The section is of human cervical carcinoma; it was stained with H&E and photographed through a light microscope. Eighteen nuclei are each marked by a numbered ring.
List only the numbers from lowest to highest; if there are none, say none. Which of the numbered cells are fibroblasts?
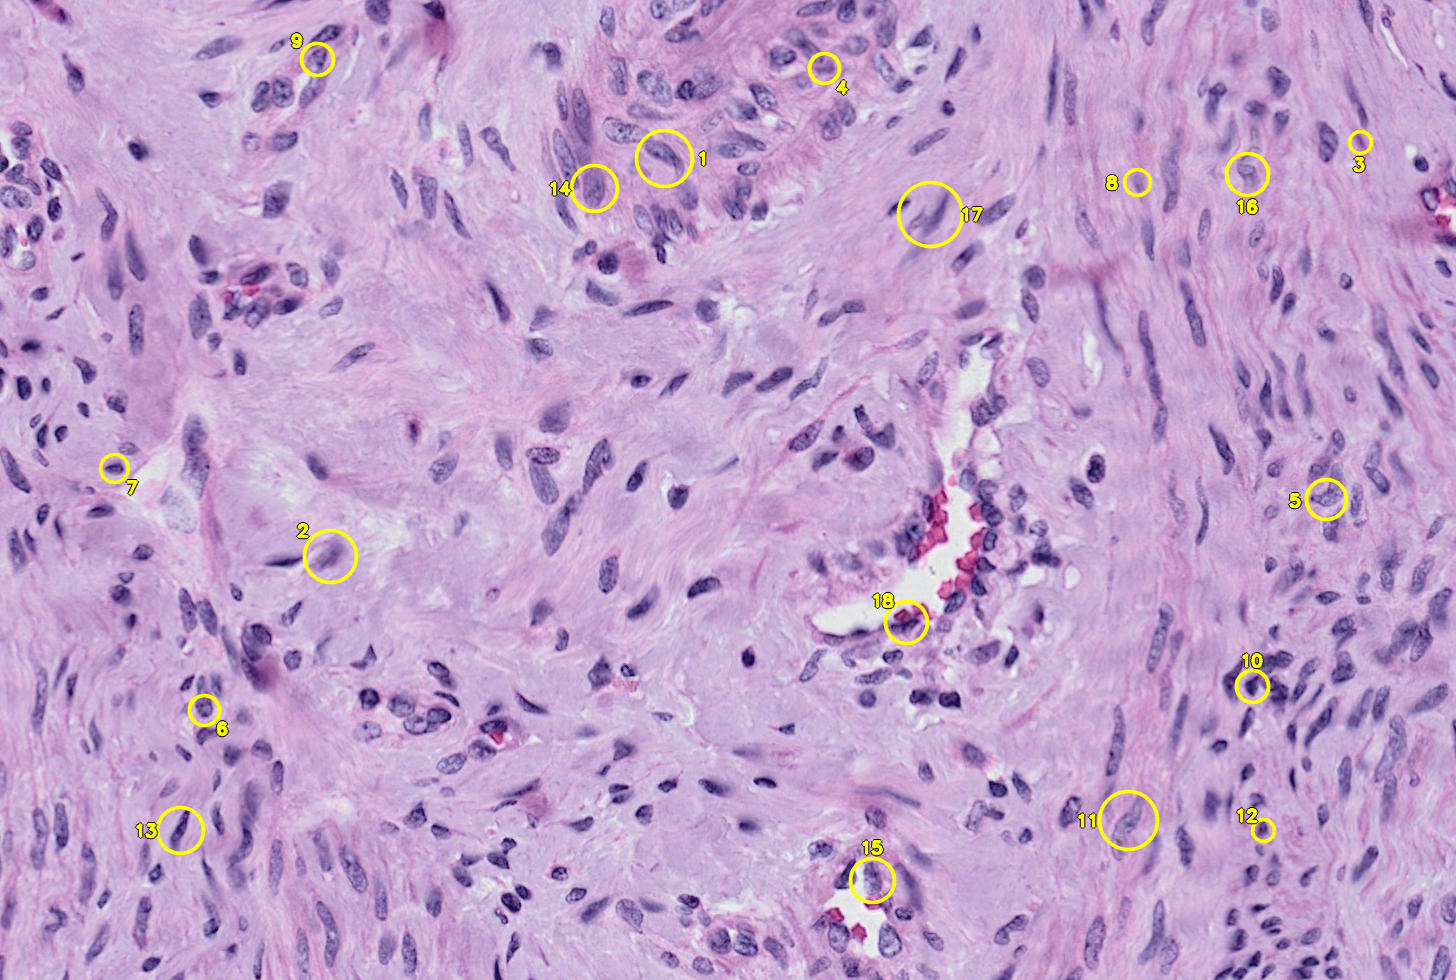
2, 6, 7, 10, 13, 17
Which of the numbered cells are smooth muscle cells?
1, 3, 4, 5, 8, 11, 12, 14, 16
